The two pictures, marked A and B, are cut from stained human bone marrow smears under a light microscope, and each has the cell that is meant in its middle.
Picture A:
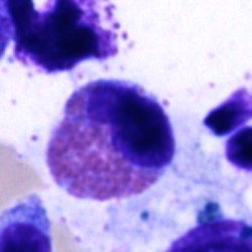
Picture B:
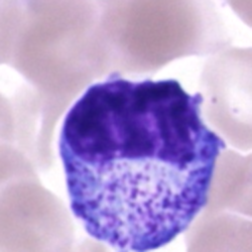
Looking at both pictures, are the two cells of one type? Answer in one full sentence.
No, they differ: the cell is an eosinophil in picture A and a promyelocyte in picture B.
